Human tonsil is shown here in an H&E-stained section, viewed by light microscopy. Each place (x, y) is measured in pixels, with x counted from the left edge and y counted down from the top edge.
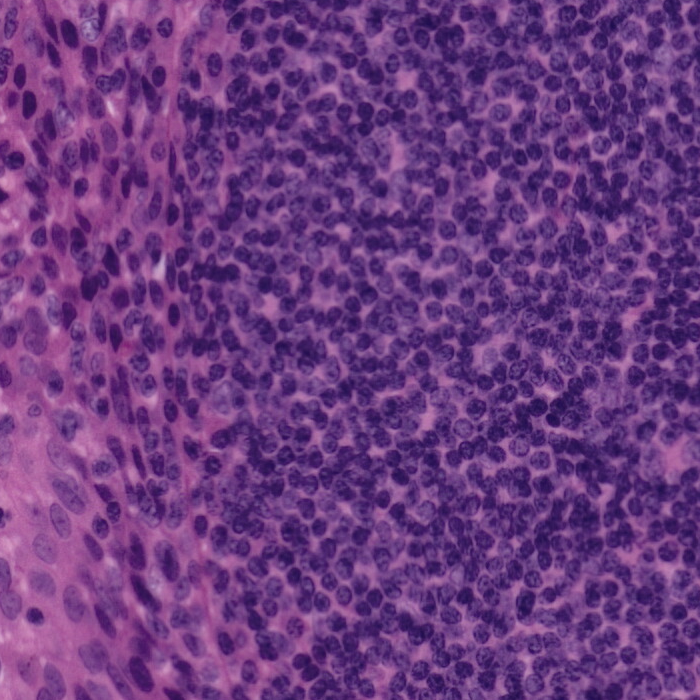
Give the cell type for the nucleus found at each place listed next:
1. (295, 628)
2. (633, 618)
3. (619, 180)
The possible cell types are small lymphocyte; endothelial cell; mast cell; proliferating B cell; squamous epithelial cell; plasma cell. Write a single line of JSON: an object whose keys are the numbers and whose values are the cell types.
{"1": "plasma cell", "2": "small lymphocyte", "3": "small lymphocyte"}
